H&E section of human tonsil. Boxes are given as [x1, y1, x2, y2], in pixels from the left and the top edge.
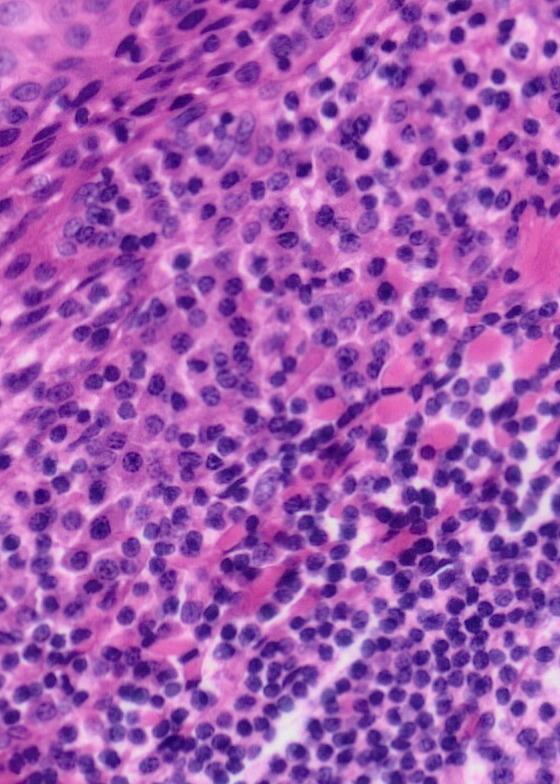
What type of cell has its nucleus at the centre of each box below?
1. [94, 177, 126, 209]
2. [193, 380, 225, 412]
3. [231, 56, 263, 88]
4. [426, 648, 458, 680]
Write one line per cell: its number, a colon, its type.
1: plasma cell
2: plasma cell
3: squamous epithelial cell
4: small lymphocyte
